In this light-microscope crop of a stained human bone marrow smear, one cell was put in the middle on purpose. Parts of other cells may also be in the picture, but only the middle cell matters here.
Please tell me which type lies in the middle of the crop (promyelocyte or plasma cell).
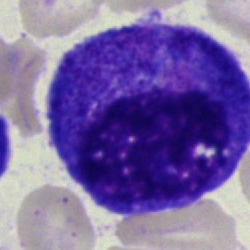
promyelocyte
